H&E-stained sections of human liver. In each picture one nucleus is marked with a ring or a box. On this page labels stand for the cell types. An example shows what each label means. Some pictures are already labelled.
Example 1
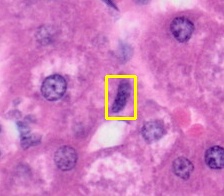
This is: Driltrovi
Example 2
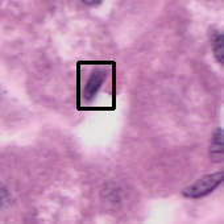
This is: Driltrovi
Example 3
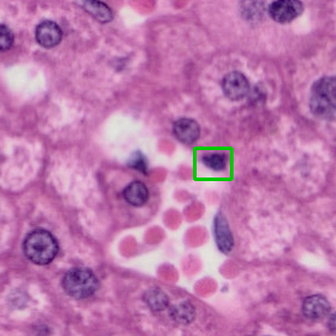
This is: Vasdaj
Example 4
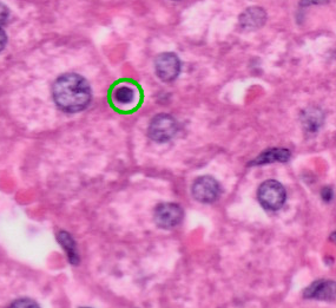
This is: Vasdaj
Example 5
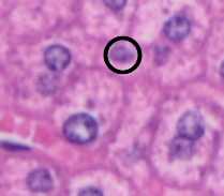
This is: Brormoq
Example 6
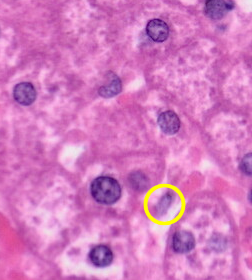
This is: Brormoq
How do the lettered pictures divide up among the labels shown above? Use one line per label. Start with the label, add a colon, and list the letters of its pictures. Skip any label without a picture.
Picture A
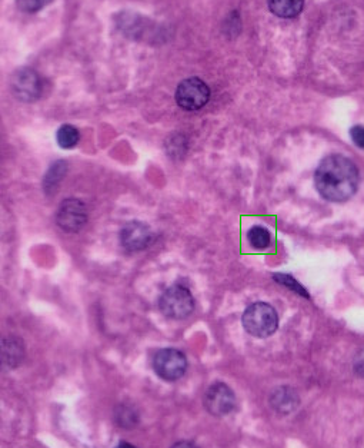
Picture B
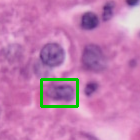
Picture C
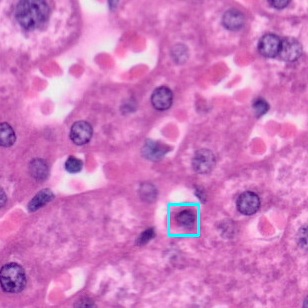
Vasdaj: A
Brormoq: B, C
